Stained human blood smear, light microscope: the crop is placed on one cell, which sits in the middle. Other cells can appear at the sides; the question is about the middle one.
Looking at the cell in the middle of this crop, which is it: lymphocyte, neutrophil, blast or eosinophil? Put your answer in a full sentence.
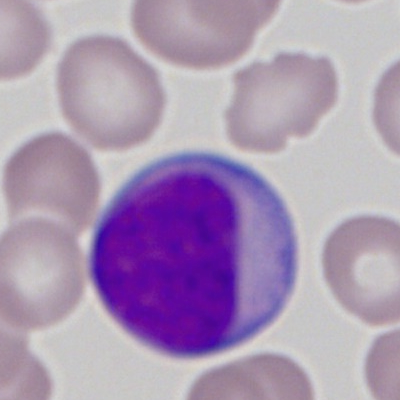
The middle cell in this particular crop is a blast.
